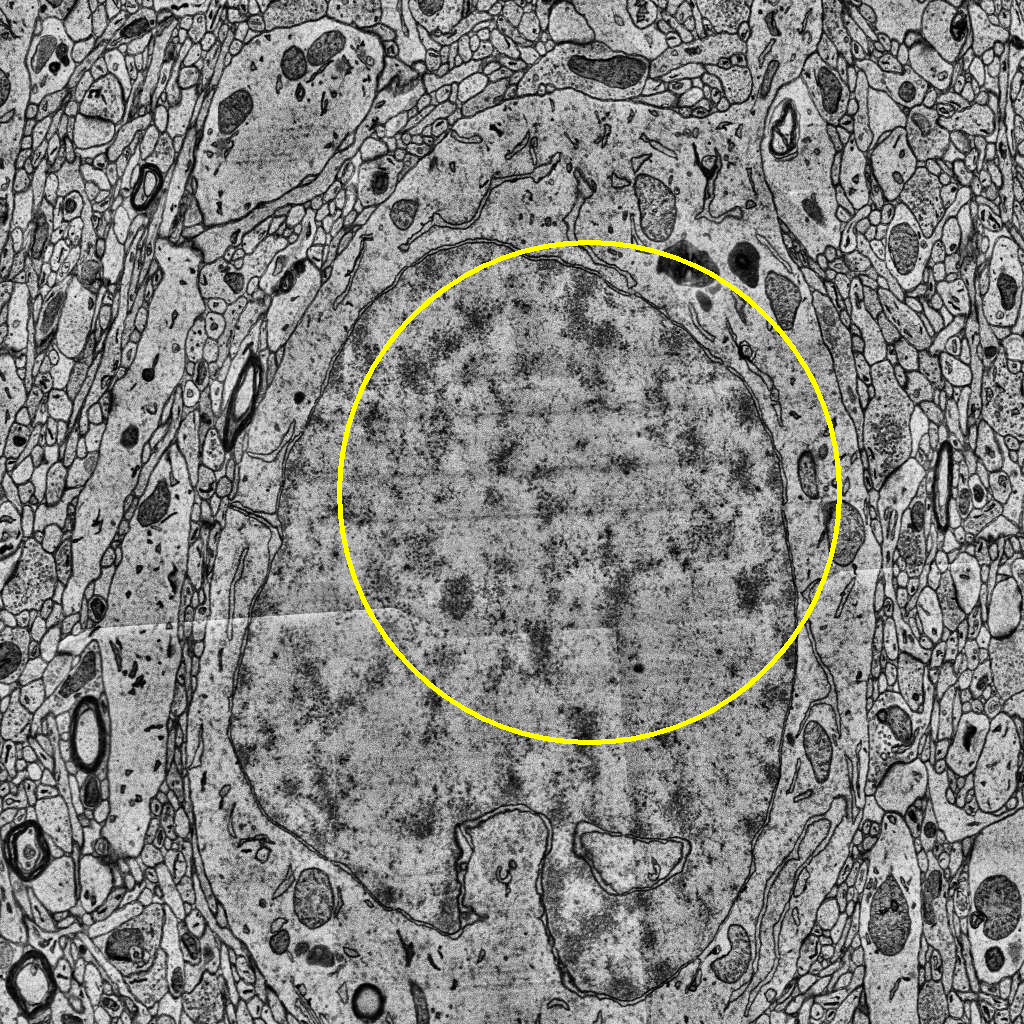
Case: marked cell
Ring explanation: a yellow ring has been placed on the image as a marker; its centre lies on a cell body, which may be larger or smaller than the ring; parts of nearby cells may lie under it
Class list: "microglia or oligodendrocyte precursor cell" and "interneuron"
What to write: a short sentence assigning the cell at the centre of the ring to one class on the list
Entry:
The cell at the ring's centre is an interneuron.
